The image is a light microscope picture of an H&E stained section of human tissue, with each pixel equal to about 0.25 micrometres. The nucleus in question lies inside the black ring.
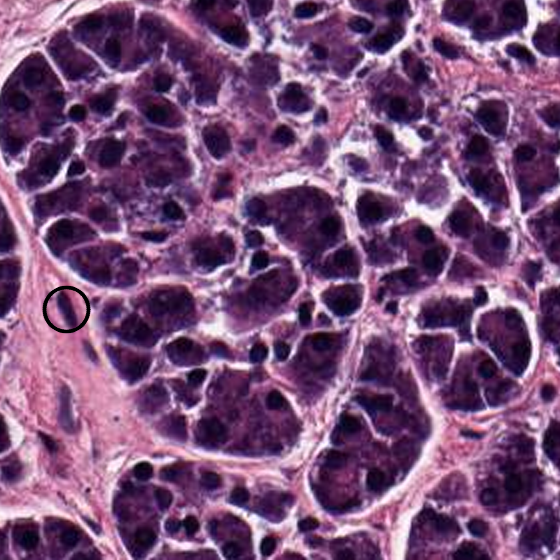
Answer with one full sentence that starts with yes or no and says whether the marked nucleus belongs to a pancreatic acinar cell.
No, the marked nucleus, rather than belonging to a pancreatic acinar cell, belongs to a supporting cell.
